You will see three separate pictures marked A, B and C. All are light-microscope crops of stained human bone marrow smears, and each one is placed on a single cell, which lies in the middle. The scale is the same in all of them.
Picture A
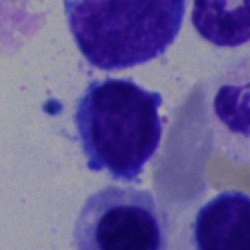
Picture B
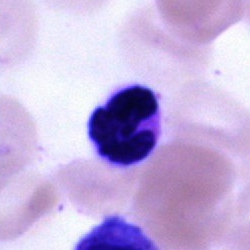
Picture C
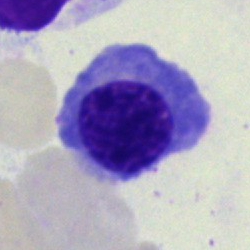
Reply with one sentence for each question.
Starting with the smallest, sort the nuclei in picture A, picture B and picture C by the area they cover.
The order is B, A, C, beginning with the smallest.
